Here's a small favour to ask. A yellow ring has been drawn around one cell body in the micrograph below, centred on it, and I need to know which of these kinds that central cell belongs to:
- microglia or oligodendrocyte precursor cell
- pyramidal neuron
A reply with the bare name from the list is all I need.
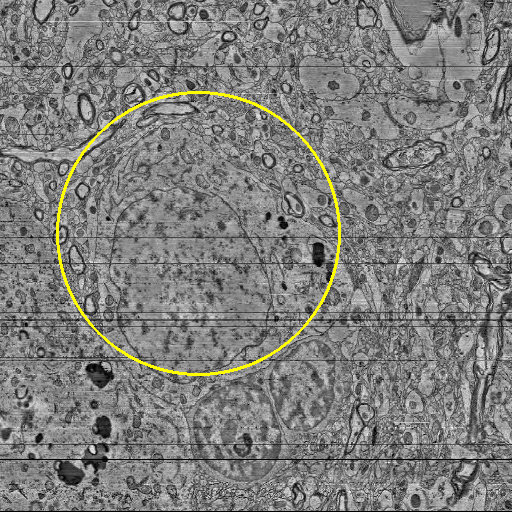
pyramidal neuron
